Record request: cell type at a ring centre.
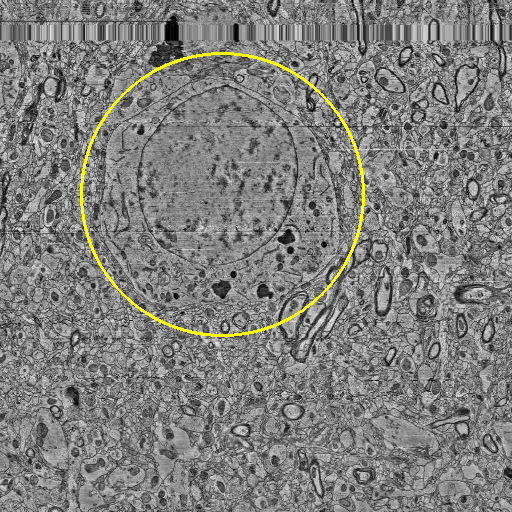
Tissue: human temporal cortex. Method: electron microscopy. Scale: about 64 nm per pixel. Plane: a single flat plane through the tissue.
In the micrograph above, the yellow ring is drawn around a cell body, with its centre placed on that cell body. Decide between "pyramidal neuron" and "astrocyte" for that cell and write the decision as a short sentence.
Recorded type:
The cell centred in the yellow ring is a pyramidal neuron.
